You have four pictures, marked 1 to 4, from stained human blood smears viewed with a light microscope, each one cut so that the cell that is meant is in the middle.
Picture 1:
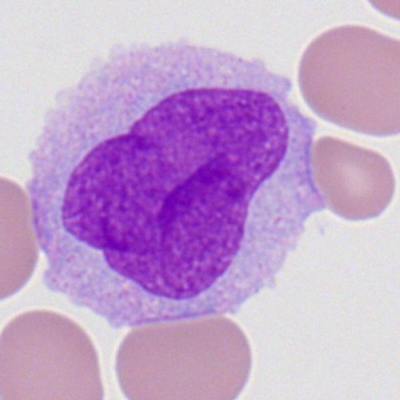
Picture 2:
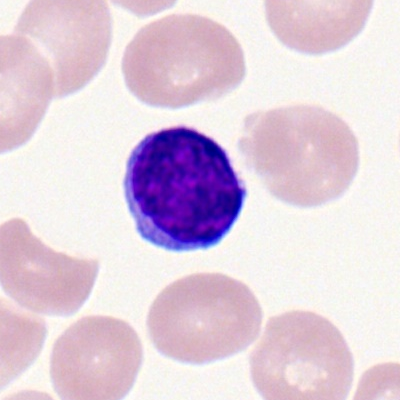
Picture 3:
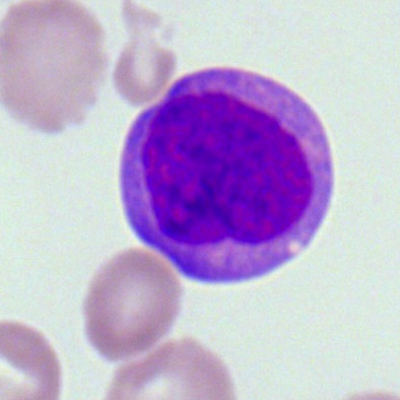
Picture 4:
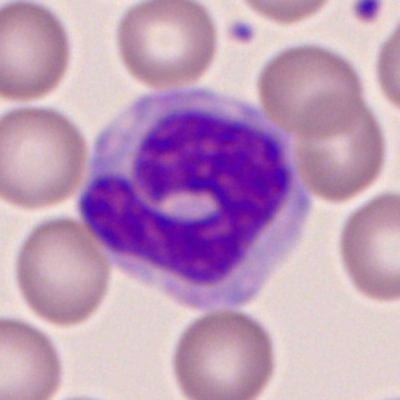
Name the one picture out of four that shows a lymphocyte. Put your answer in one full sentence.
Picture 2 is the one that shows the lymphocyte.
